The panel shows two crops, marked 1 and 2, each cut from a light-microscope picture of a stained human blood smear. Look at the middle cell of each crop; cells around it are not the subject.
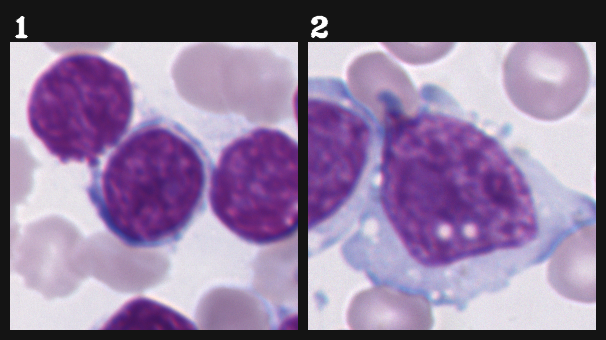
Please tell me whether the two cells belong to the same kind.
yes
